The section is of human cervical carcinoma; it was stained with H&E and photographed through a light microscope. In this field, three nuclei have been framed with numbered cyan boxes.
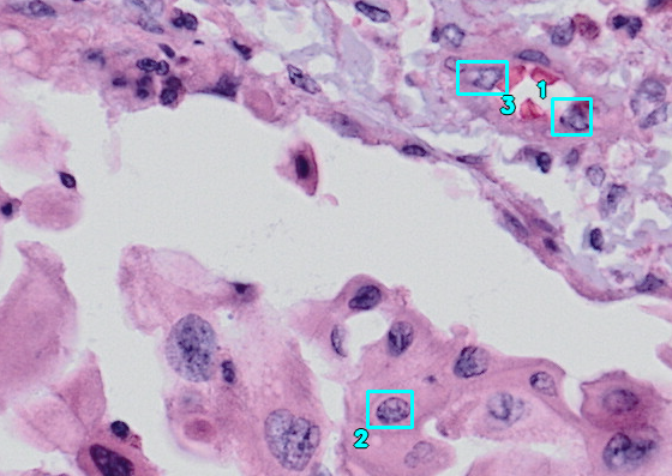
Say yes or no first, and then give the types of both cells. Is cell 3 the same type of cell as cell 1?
Yes, both are endothelial cells.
